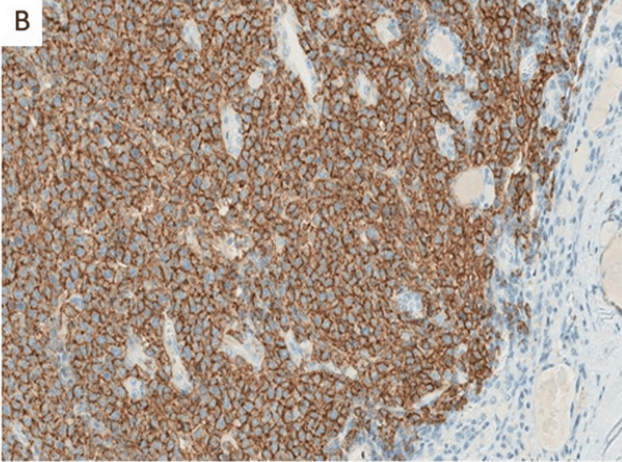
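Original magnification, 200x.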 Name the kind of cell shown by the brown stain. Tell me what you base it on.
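Atypical lymphoid cells. Brown stain outlines the membranes of densely packed round cells. The stained cells form a large sheet, with unstained stroma at the right edge.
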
